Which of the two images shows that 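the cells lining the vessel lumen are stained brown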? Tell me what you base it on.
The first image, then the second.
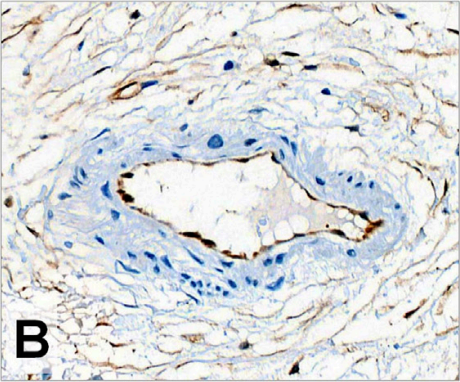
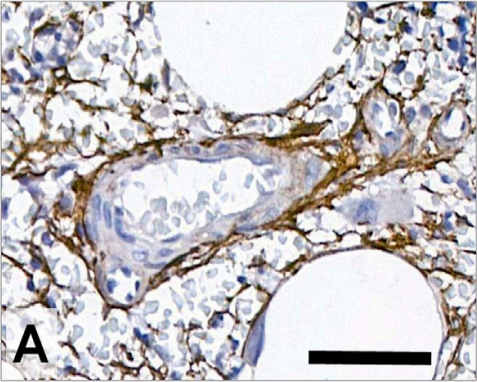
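The first image. First image: a continuous thin brown line lines the vessel lumen. Second image: the inner lining of the vessel is pale, with brown stain in the tissue outside the wall.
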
